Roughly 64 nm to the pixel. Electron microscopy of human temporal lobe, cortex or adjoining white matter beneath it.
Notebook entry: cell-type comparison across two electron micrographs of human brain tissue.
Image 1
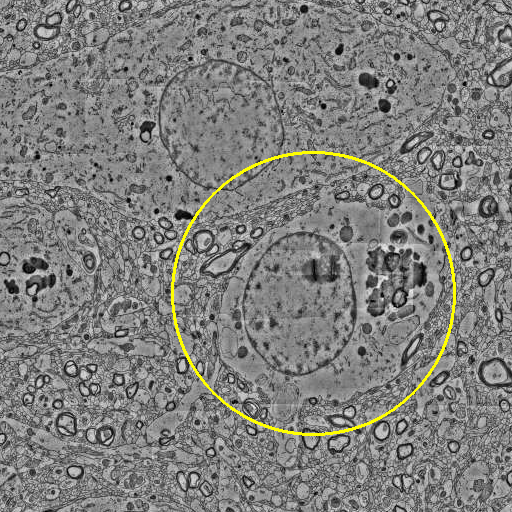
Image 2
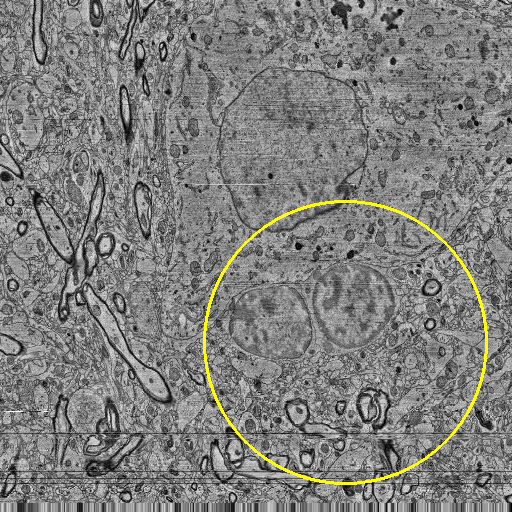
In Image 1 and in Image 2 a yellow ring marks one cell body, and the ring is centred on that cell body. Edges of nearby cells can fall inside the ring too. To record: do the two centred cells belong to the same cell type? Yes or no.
no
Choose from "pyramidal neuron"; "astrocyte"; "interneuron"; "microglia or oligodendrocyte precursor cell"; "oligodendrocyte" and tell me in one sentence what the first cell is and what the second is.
What the first ring is centred on is an astrocyte; what the second ring is centred on is an oligodendrocyte.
